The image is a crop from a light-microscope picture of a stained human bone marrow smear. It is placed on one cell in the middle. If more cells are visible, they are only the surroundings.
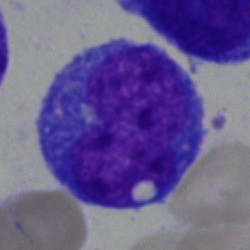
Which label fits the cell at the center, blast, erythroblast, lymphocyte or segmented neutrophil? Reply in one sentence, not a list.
Answering briefly, the cell in the middle is a blast.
